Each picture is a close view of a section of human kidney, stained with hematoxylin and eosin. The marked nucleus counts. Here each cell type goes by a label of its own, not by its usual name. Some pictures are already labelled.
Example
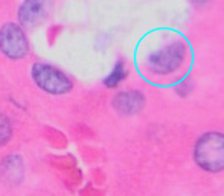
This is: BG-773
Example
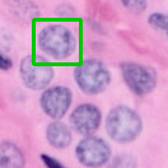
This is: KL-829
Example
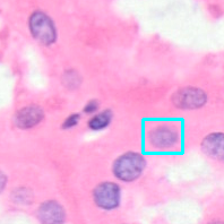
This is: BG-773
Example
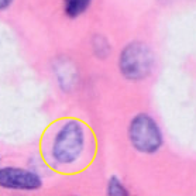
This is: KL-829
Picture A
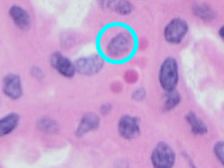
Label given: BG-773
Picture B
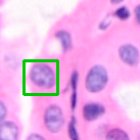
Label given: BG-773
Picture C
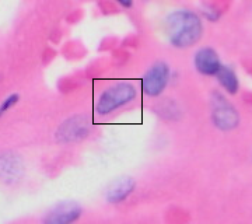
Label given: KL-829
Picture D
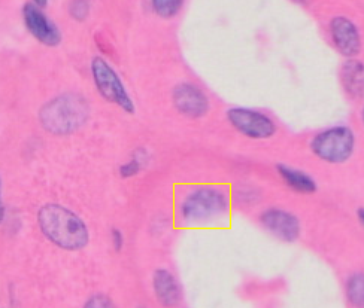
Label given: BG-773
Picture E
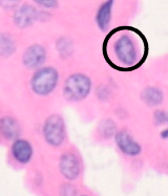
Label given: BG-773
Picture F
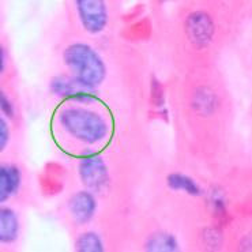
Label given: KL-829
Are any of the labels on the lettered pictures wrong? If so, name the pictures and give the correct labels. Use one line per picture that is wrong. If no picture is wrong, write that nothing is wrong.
Wrong: A (BG-773); correct: KL-829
